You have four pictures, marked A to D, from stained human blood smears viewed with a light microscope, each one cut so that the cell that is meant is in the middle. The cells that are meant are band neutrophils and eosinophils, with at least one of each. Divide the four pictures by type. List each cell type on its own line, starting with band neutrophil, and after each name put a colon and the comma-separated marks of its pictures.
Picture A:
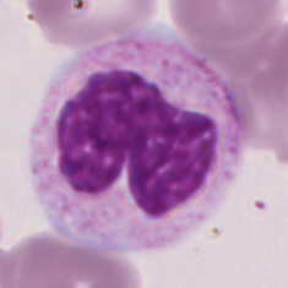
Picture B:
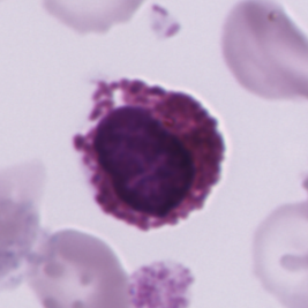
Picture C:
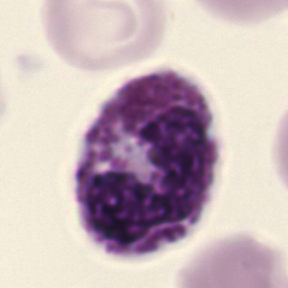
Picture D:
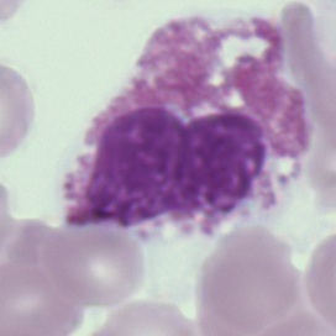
band neutrophil: A
eosinophil: B, C, D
